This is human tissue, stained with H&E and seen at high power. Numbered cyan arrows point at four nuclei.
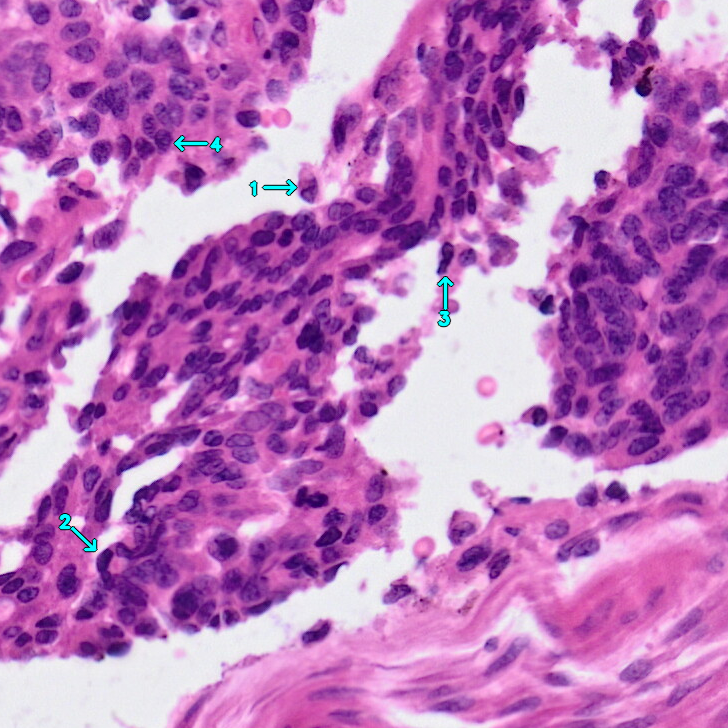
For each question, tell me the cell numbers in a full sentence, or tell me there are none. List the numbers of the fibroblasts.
Across the numbered cells, there are no fibroblasts.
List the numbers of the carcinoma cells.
The cells numbered 2 and 4 are typed as carcinoma cells.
